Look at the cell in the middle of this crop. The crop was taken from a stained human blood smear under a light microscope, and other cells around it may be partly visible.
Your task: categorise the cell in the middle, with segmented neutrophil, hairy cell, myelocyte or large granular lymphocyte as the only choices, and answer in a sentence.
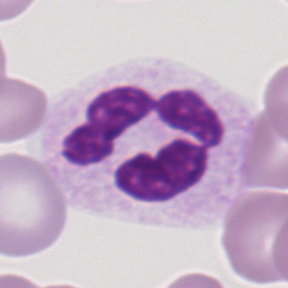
The cell that lies at the centre of the crop is a segmented neutrophil.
